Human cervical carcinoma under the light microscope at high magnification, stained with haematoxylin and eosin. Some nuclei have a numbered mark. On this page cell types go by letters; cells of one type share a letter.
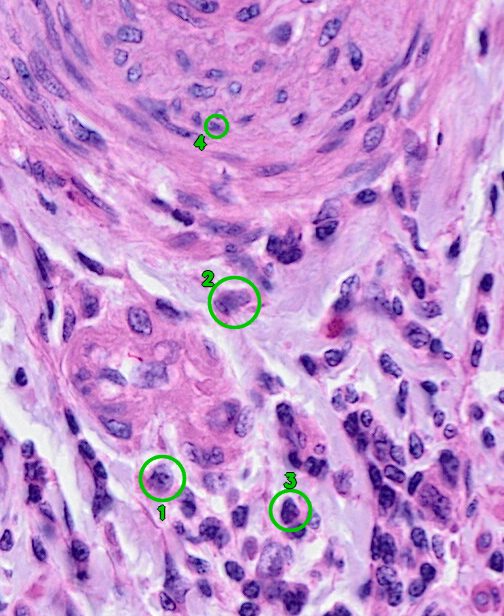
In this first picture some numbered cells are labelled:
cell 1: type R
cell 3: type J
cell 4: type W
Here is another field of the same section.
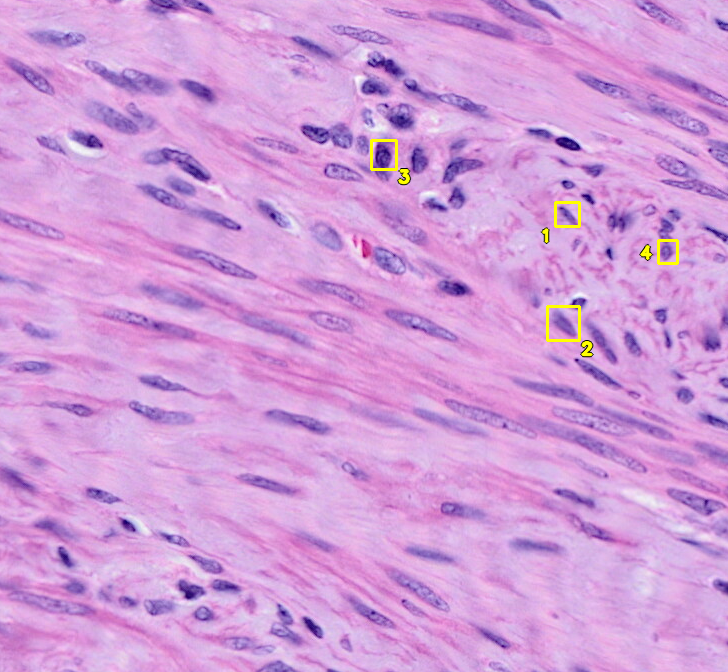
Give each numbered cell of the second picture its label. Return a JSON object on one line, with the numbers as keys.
{"1": "type W", "2": "type W", "3": "type J", "4": "type W"}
